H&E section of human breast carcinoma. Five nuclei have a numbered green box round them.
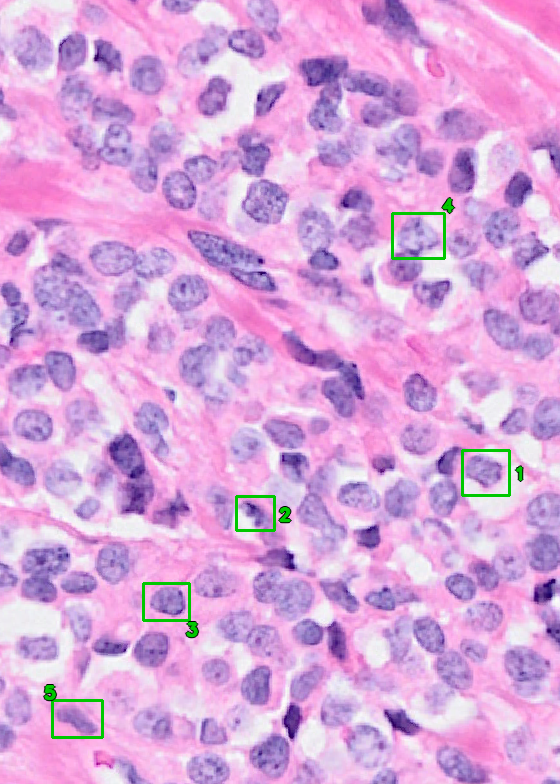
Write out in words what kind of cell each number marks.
Cells 1, 3 and 4 are carcinoma cells. Cells 2 and 5 are endothelial cells.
